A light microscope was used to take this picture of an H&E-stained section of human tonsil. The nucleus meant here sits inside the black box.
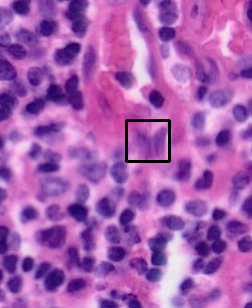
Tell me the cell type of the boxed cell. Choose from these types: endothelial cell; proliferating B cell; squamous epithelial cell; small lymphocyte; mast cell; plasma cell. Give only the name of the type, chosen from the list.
endothelial cell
